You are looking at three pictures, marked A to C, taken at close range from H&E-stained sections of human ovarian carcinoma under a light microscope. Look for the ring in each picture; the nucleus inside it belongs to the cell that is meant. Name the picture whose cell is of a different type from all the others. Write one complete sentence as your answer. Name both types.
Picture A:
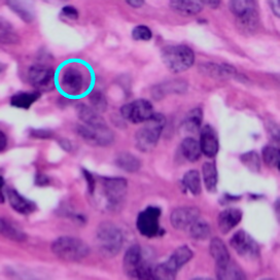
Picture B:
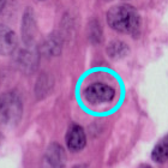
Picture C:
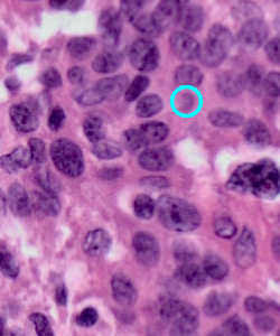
The different one is picture B; it shows a “macrophage or monocyte”, whereas all the others show carcinoma cells.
